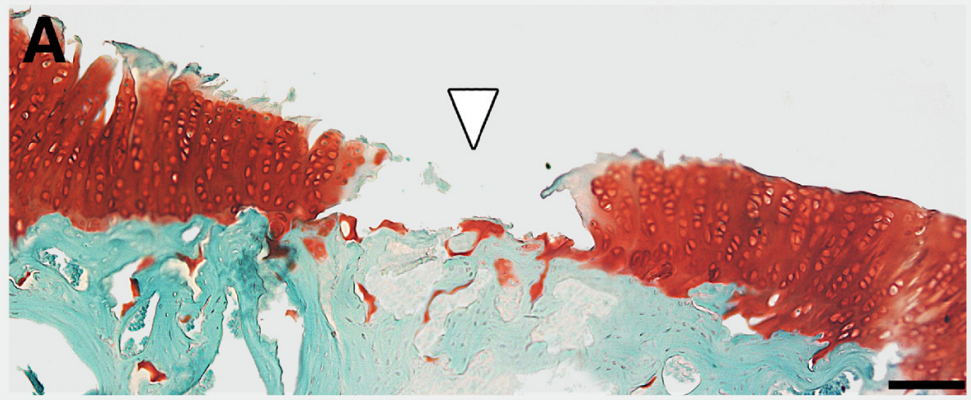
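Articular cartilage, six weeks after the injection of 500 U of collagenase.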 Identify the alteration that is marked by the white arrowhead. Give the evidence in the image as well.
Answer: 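Beneath the arrowhead the red-stained cartilage layer is missing over a stretch. Green-stained bone lies bare at the surface between two intact red cartilage segments. That points to this answer: marked erosion with exposure of the subchondral bone.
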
